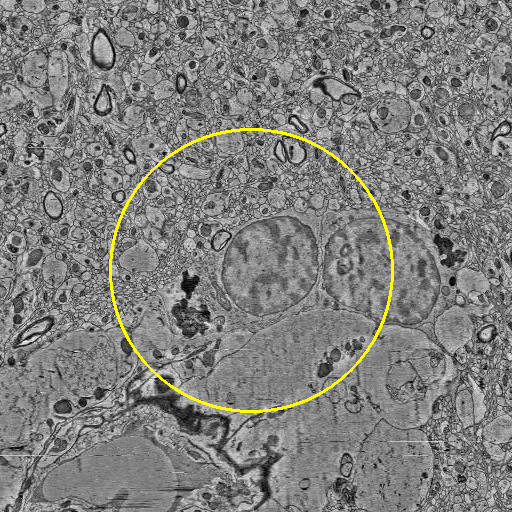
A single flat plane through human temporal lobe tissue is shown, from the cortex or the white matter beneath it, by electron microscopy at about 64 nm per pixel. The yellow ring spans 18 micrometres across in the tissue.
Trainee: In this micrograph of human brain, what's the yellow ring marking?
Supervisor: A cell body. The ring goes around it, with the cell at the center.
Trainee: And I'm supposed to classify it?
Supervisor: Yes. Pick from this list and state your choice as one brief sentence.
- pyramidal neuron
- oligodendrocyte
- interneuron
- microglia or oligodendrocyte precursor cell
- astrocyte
The cell at the ring's center is an oligodendrocyte.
